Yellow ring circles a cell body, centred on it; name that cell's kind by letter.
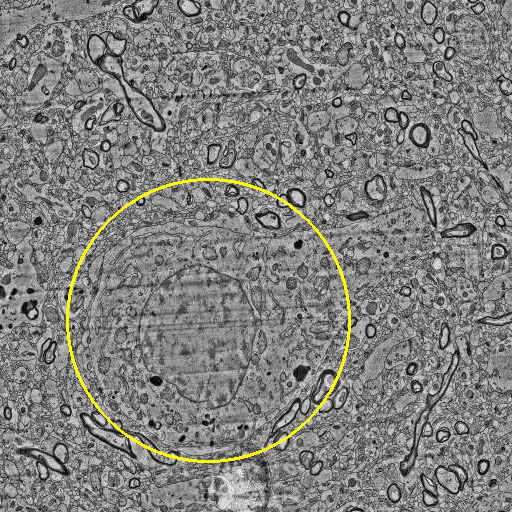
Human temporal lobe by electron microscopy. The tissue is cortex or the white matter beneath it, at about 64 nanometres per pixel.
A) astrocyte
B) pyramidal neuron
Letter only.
B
